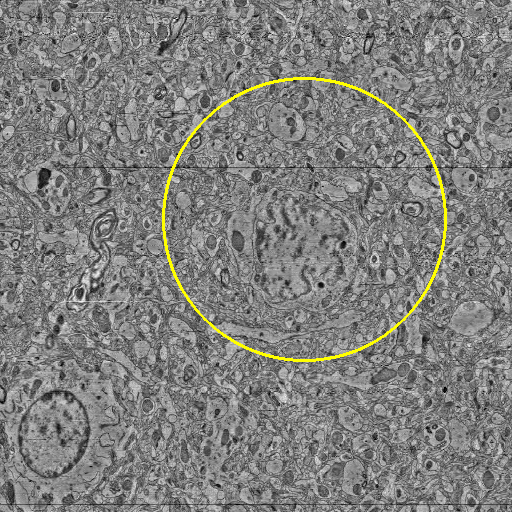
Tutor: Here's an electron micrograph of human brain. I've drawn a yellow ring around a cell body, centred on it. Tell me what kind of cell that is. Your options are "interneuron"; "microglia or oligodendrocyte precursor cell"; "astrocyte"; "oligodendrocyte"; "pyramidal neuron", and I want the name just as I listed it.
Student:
interneuron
